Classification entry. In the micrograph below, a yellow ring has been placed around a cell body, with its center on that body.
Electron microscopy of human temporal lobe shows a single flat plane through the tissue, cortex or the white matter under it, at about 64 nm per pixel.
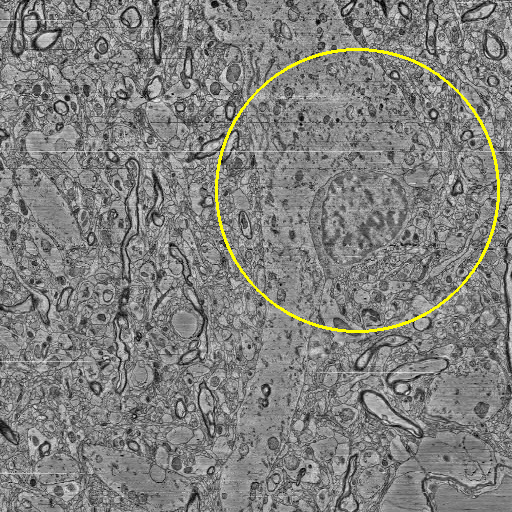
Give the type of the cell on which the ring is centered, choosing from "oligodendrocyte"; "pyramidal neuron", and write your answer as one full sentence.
The cell body at the center of the yellow ring belongs to an oligodendrocyte.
